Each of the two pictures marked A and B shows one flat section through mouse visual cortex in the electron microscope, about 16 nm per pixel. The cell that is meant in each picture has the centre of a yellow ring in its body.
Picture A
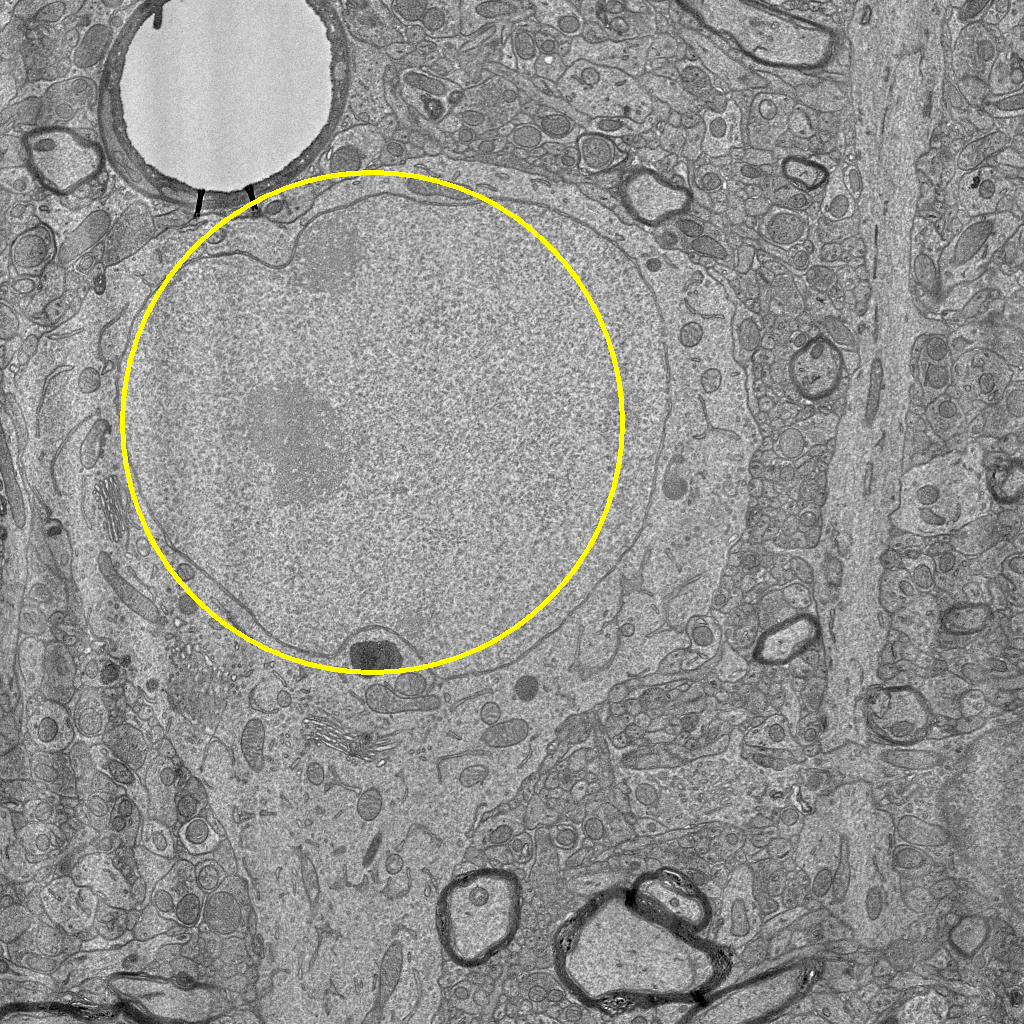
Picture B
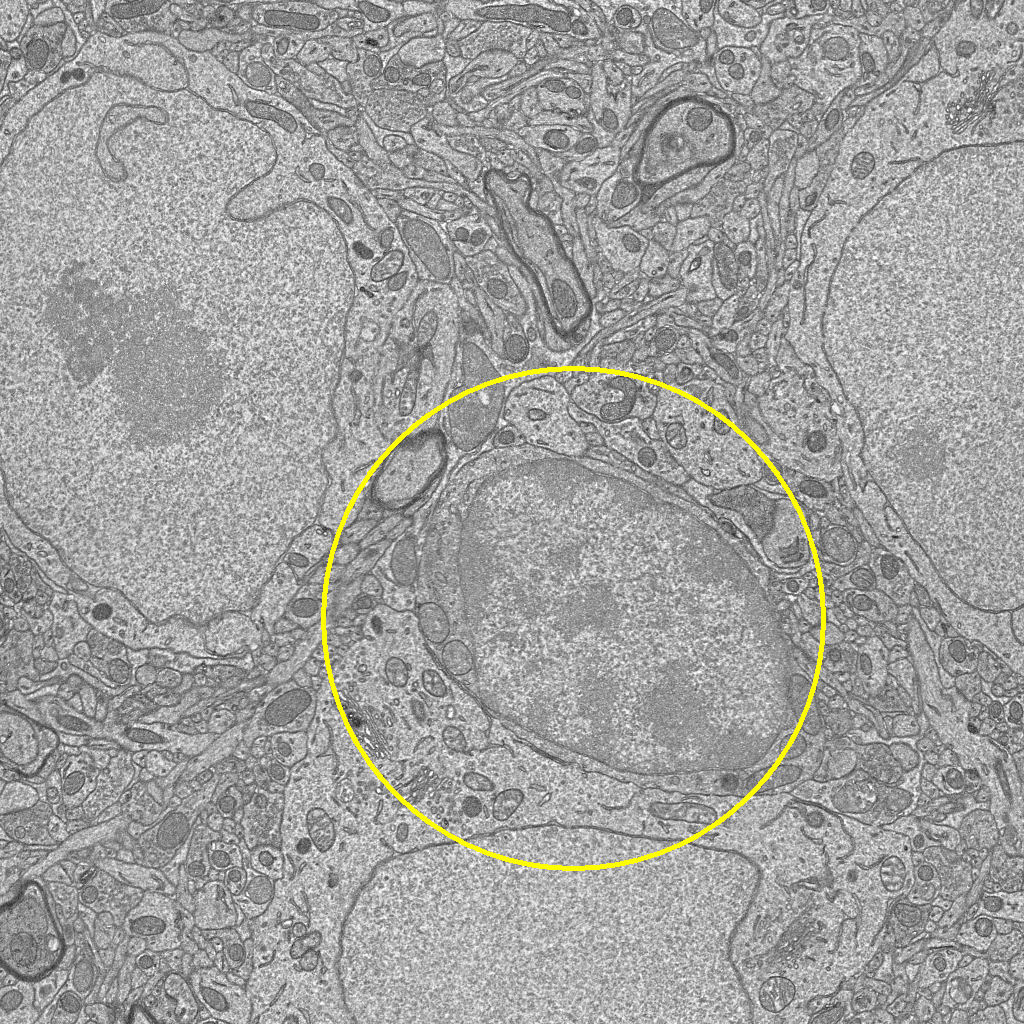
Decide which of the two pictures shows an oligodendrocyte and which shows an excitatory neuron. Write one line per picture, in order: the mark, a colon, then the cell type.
A: excitatory neuron
B: oligodendrocyte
